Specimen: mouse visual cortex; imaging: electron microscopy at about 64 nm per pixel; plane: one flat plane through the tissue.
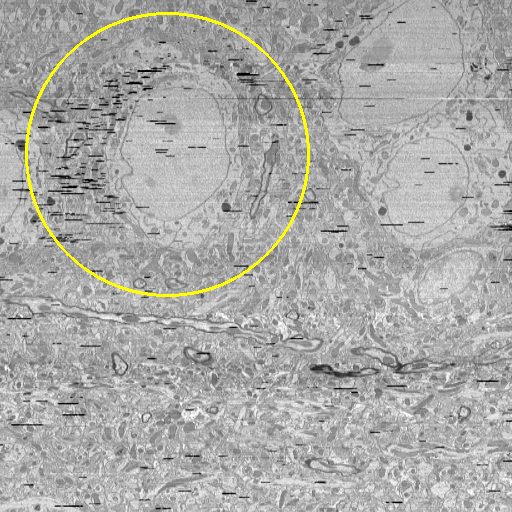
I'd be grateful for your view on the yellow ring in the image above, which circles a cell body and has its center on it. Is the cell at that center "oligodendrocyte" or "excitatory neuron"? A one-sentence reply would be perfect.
The cell at the center of the yellow ring is an excitatory neuron.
